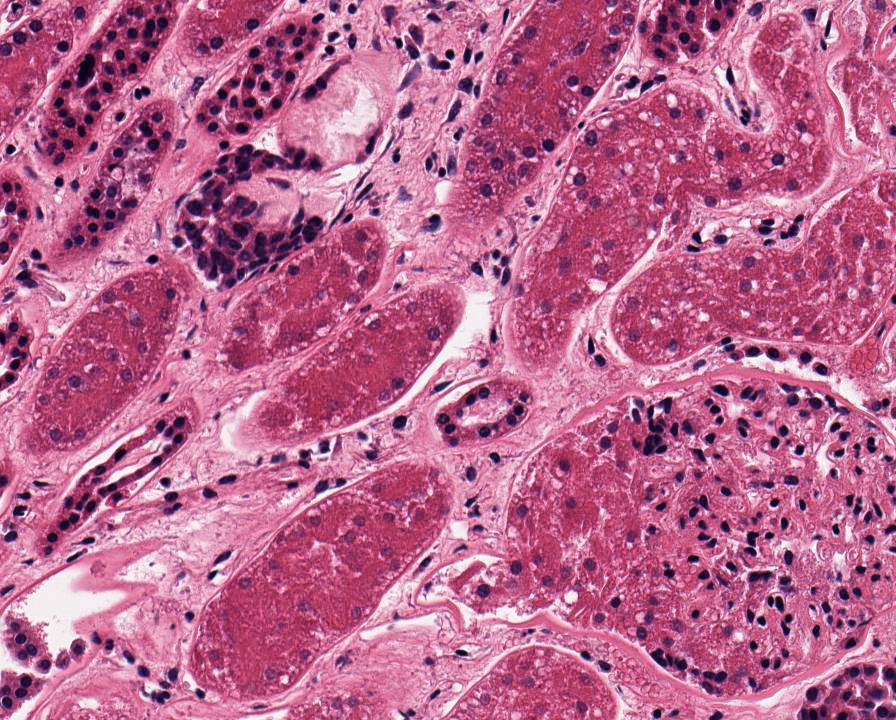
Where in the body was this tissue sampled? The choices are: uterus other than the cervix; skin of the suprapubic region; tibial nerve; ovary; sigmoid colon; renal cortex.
renal cortex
